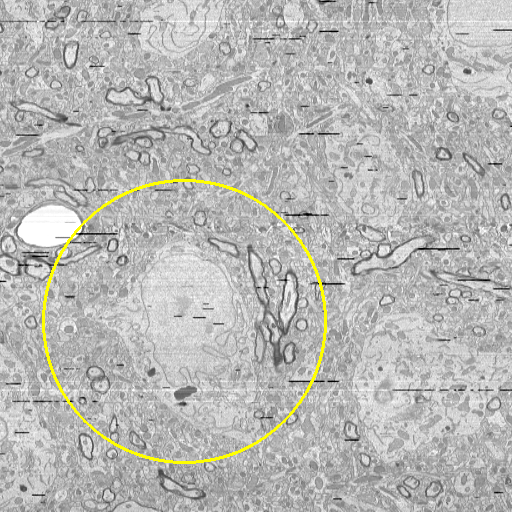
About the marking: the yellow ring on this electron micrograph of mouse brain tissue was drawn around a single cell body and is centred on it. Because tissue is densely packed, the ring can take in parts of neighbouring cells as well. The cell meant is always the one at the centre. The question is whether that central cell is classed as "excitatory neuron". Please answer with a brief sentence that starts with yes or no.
No, the central cell belongs to another class.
